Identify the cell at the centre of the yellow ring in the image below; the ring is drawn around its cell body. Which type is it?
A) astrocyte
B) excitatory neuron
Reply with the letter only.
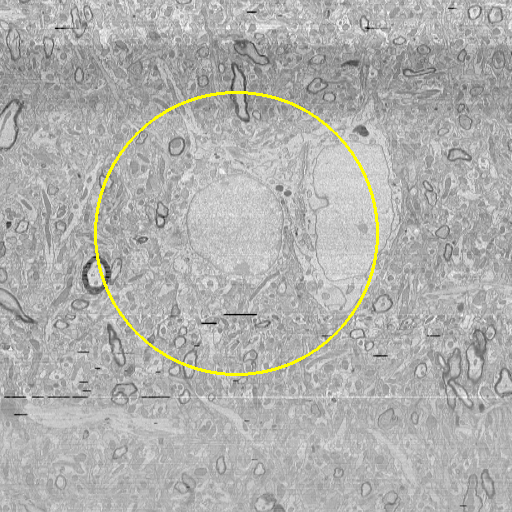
A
